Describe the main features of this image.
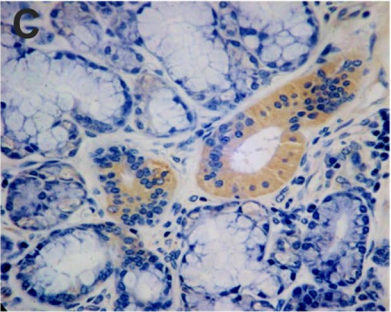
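Salivary gland tissue with clusters of mucous acini, whose cells have pale, foamy cytoplasm and flattened nuclei pressed to the base, surround a few tubules lined by cuboidal cells with round central nuclei around an open lumen. The lining cells of these tubules are stained brown, while the acini stay pale blue, so the brown marks the ducts of the salivary glands.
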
